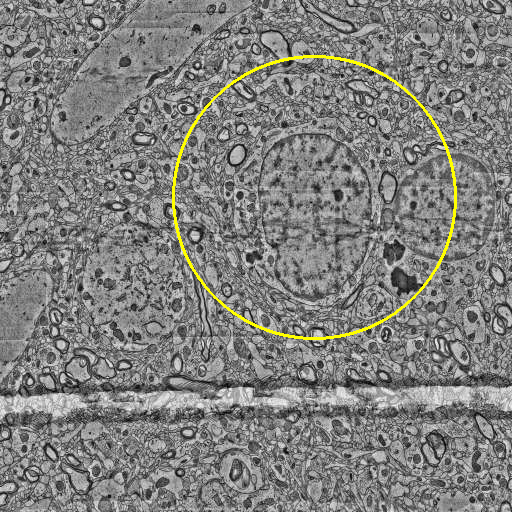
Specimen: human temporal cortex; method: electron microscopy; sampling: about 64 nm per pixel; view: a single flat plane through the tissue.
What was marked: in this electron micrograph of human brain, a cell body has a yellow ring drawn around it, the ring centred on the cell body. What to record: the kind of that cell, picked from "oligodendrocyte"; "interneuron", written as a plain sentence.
The centred cell is an interneuron.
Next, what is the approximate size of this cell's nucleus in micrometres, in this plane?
The nucleus is approximately 10 micrometers long by 7 micrometers wide in this plane.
